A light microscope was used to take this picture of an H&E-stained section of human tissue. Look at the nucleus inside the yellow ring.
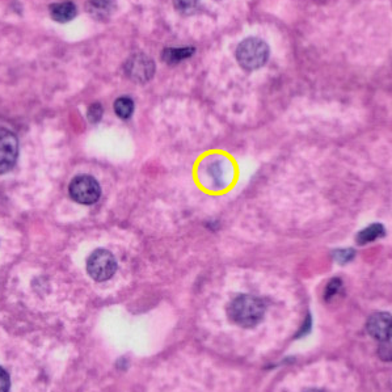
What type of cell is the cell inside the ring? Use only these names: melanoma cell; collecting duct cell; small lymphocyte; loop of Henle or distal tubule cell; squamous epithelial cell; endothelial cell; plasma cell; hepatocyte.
endothelial cell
